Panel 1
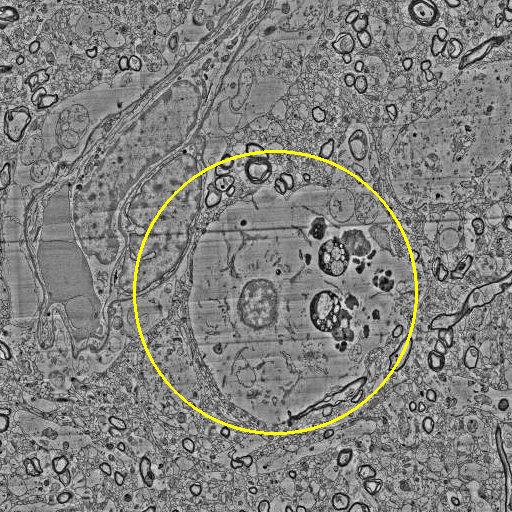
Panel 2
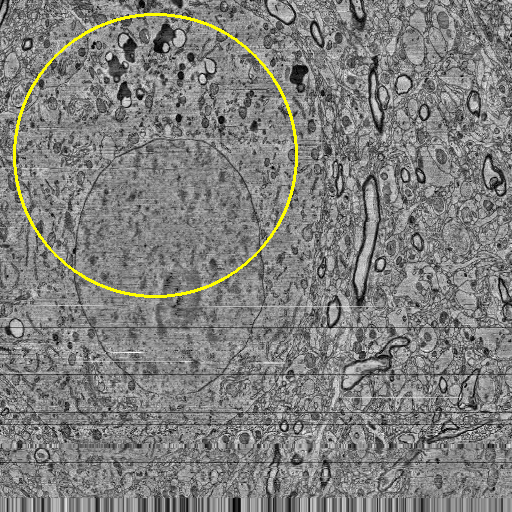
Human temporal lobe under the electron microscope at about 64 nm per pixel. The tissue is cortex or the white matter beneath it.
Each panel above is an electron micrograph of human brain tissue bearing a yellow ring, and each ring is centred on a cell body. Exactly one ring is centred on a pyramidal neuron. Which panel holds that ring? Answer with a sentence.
That ring is in Panel 2.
